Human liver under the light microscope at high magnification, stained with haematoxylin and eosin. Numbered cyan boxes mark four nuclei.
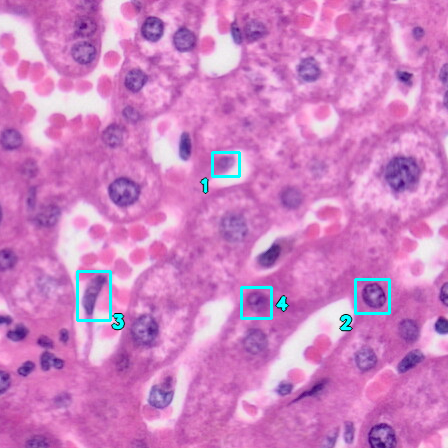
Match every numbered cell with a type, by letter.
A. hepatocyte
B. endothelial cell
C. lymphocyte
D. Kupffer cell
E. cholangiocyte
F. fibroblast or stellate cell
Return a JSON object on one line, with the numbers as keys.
{"1": "D", "2": "A", "3": "D", "4": "A"}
